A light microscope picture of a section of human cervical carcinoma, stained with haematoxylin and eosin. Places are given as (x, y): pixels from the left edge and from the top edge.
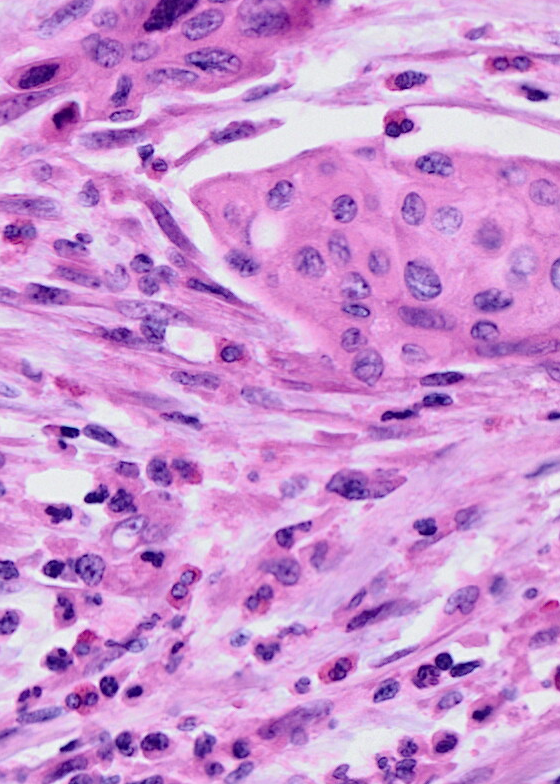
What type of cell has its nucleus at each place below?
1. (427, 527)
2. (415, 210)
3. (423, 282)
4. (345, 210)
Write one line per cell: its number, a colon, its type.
1: lymphocyte
2: squamous carcinoma cell
3: squamous carcinoma cell
4: squamous carcinoma cell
